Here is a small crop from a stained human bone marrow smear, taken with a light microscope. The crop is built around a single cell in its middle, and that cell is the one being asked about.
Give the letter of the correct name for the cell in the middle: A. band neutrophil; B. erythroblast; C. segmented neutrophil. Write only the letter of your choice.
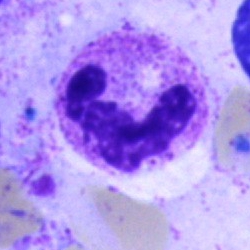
C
